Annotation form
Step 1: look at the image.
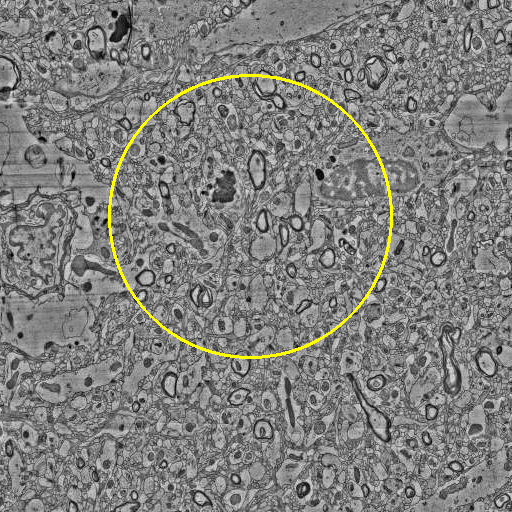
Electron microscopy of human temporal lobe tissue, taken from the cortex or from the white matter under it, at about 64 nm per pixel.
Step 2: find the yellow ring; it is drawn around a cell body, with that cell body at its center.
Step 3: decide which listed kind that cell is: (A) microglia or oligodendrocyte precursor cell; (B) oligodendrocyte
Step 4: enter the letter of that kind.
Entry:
B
